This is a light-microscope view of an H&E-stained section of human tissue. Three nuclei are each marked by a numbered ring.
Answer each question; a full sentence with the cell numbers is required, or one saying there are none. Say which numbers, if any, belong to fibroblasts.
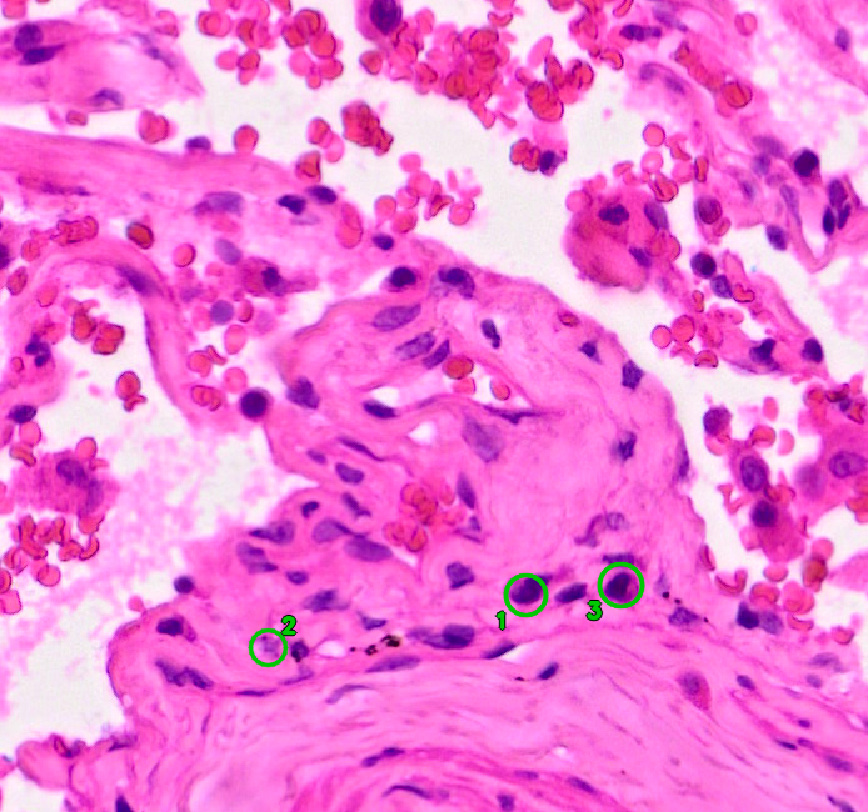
Cell 2 is a fibroblast, and it is the only numbered cell that is.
